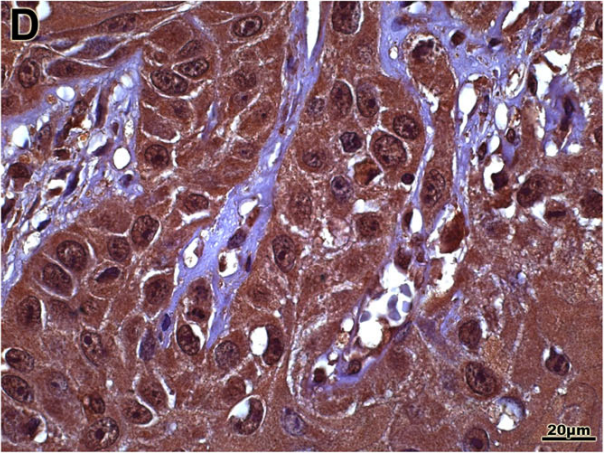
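Large malignant epithelial cells of the tumour parenchyma are packed in sheets separated by narrow blue-stained bands of stroma containing small spaces. The cells have large oval to irregular nuclei of varying size, with vesicular chromatin and visible nucleoli.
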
